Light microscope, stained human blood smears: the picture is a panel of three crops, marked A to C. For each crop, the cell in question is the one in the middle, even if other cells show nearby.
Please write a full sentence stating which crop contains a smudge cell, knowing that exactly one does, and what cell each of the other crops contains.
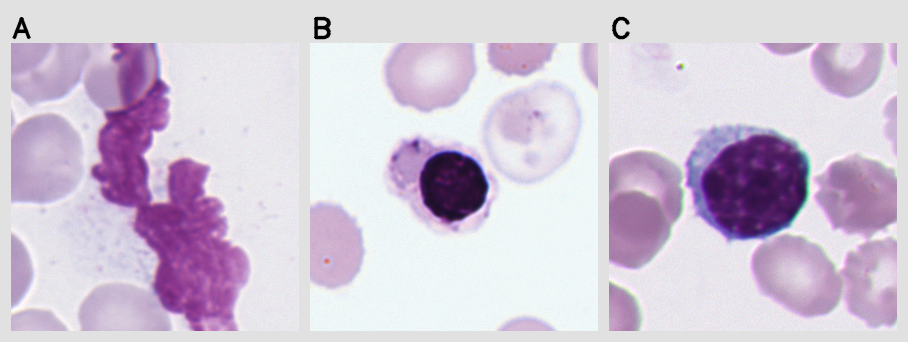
In crop A the cell is a smudge cell, whereas crop B is a normoblast and crop C is a typical lymphocyte.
